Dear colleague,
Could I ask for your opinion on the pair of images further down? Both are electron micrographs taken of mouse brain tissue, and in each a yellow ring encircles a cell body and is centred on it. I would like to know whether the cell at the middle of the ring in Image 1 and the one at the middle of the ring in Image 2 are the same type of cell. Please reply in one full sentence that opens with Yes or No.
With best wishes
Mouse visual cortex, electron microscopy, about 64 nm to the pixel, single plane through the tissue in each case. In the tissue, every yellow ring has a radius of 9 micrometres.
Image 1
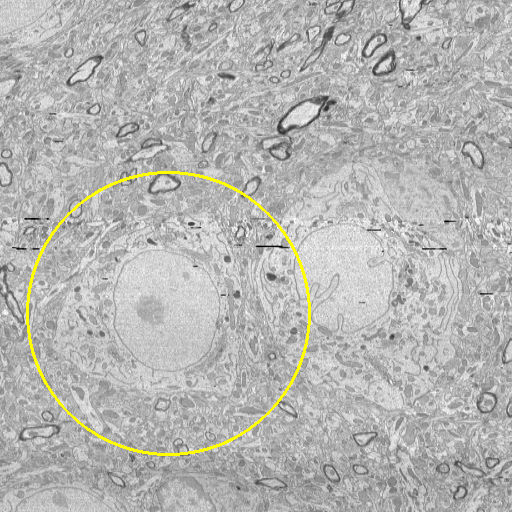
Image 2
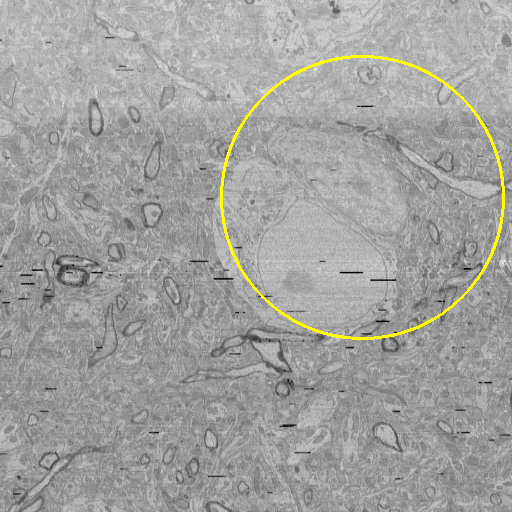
No, the cells at the ring centres in Image 1 and Image 2 are of two types.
